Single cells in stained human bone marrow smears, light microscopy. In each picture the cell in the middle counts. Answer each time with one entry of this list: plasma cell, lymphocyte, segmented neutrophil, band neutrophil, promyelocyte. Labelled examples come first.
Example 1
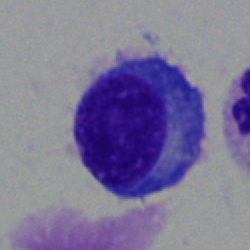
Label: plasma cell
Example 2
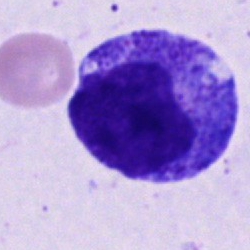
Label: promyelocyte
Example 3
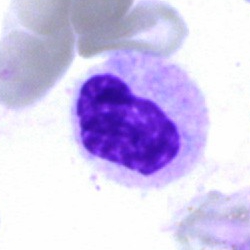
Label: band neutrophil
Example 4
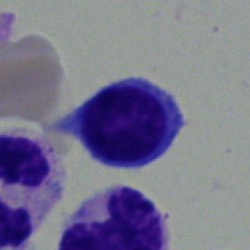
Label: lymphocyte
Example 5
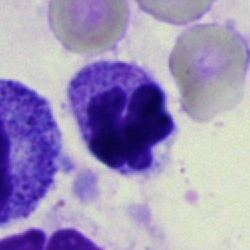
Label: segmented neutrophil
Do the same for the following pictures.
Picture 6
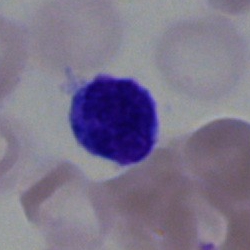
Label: lymphocyte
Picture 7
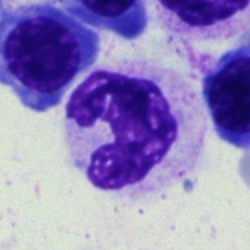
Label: band neutrophil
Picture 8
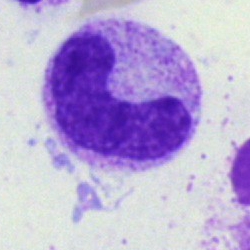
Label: band neutrophil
